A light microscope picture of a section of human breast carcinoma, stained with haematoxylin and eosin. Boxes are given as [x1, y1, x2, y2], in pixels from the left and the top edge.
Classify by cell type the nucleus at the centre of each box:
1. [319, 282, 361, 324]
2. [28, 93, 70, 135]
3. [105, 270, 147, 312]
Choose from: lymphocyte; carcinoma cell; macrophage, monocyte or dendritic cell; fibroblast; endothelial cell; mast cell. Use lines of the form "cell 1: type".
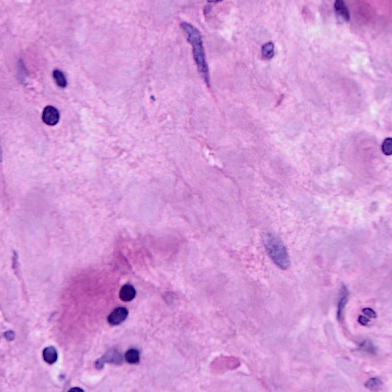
cell 1: fibroblast
cell 2: lymphocyte
cell 3: lymphocyte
